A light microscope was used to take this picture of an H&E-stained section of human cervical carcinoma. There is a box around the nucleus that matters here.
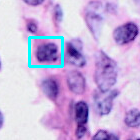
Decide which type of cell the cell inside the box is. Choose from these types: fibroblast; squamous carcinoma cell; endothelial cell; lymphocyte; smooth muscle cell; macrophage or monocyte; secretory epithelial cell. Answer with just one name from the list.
lymphocyte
